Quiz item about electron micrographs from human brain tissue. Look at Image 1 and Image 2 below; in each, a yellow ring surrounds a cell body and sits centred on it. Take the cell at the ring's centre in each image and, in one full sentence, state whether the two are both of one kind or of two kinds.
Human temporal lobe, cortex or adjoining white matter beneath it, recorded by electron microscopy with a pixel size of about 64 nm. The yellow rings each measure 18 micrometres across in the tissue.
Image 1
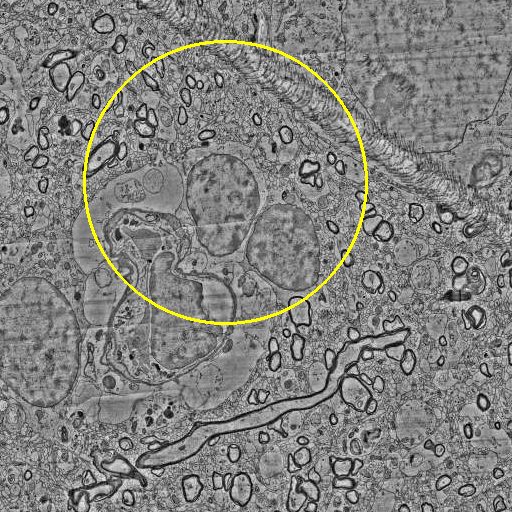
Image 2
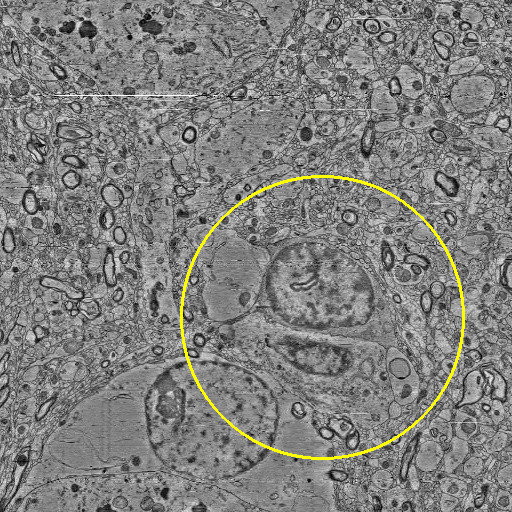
In Image 1 and Image 2, the cells at the ring centres are of two kinds.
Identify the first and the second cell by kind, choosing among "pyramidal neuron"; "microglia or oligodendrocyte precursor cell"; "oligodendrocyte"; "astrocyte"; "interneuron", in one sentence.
The one in the first picture is a microglial cell or oligodendrocyte precursor cell, while the one in the second is an oligodendrocyte.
